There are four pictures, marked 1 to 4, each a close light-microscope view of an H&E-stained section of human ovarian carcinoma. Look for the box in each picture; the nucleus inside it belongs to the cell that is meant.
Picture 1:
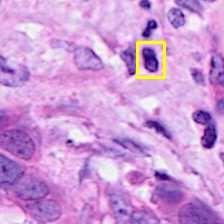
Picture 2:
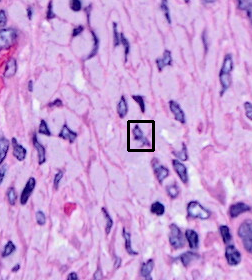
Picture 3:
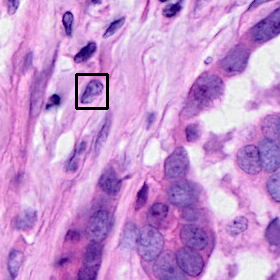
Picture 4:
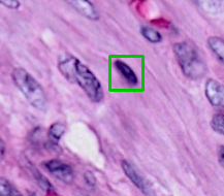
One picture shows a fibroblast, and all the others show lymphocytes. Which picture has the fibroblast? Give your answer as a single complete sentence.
Picture 2 is the one that shows the fibroblast.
